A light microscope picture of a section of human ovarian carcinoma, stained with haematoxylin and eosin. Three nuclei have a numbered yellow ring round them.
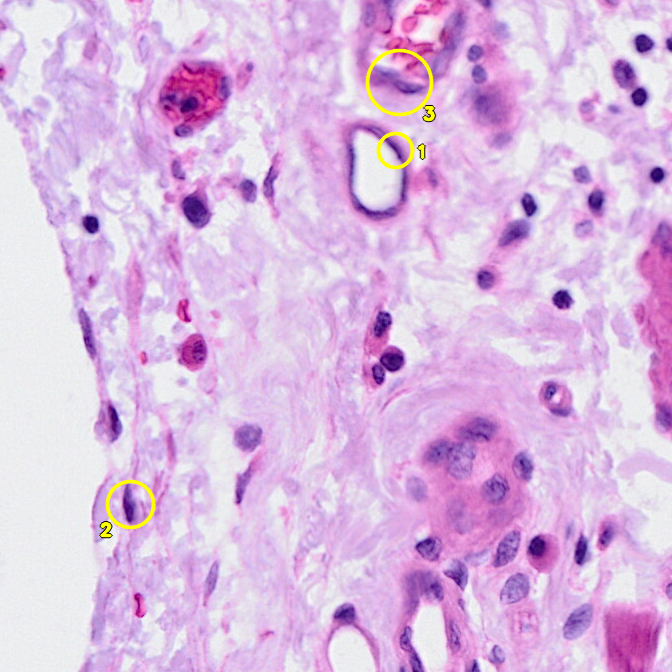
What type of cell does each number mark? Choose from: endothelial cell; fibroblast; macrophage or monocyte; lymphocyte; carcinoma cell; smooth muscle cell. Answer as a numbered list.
1. endothelial cell
2. fibroblast
3. endothelial cell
